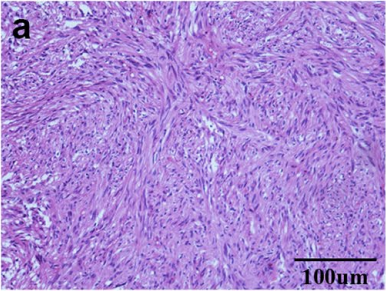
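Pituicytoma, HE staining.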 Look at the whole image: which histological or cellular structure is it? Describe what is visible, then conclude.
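Elongated cells form bundles running in different directions. So: arranged in fascicles and storiform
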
